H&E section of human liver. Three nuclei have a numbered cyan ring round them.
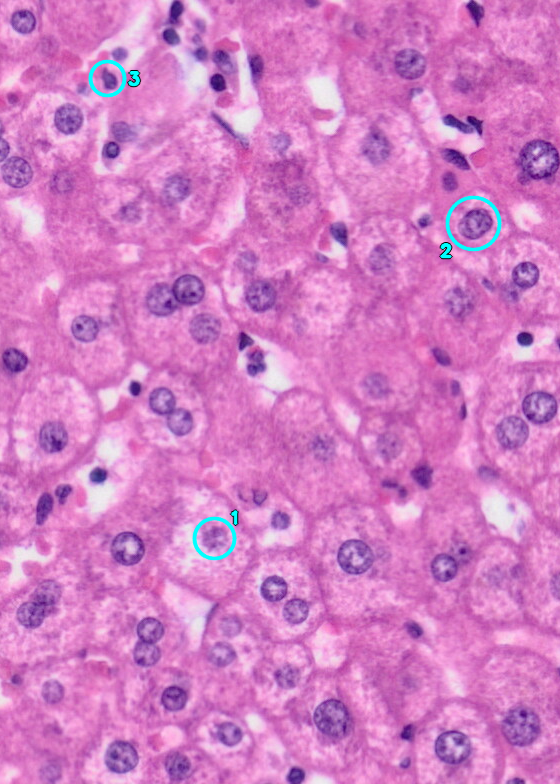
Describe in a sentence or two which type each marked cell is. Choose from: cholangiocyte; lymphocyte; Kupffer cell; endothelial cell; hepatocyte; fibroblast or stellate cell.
Cells 1 and 2 are hepatocytes. Cell 3 is a lymphocyte.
